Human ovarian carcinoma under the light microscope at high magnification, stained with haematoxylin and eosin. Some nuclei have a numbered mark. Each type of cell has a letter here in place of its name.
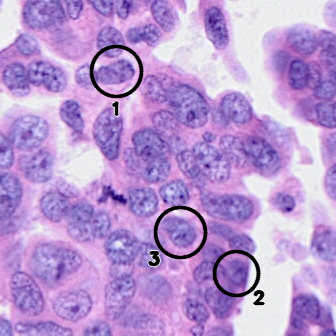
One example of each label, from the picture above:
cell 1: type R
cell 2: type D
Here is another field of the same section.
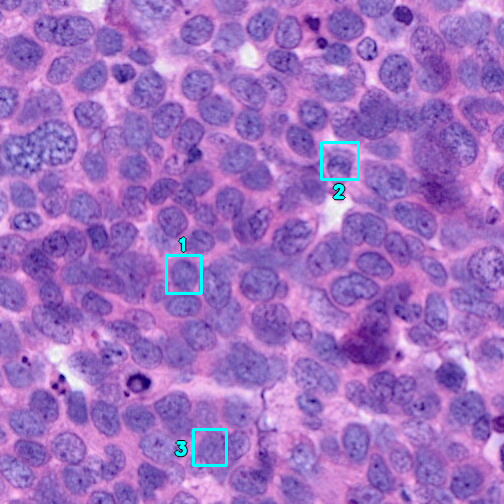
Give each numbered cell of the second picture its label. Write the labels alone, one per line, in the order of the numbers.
type D
type R
type D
